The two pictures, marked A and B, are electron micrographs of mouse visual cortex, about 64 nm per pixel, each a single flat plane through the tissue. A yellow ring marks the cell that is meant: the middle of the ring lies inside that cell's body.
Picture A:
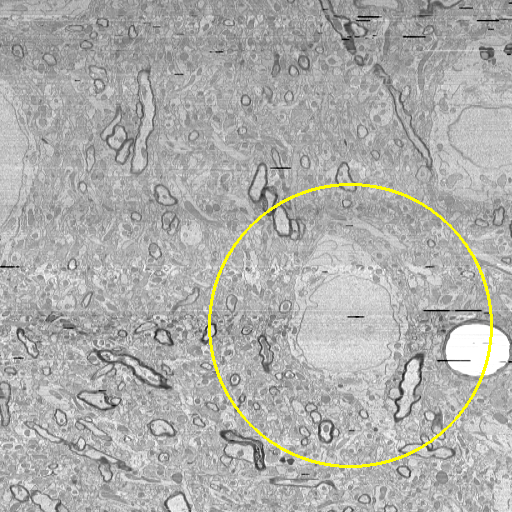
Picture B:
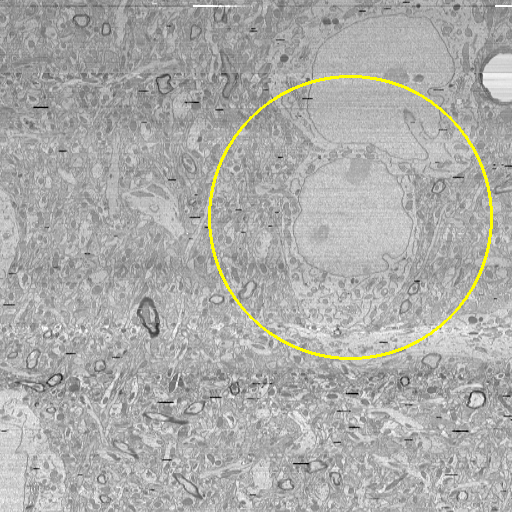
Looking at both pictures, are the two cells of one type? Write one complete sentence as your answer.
No, the types are not the same, since picture A shows an excitatory neuron and picture B an inhibitory neuron.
